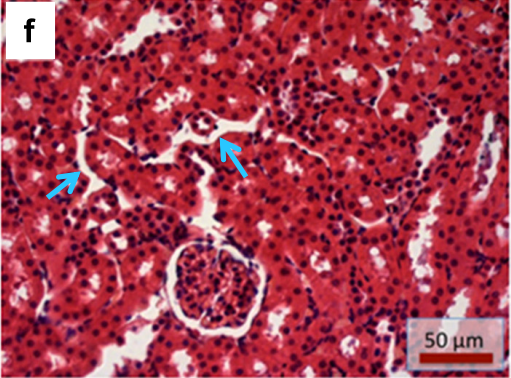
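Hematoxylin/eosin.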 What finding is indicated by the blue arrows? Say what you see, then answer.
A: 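The arrows point at widened white gaps between adjacent tubules. On this evidence: interstitial oedema.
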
